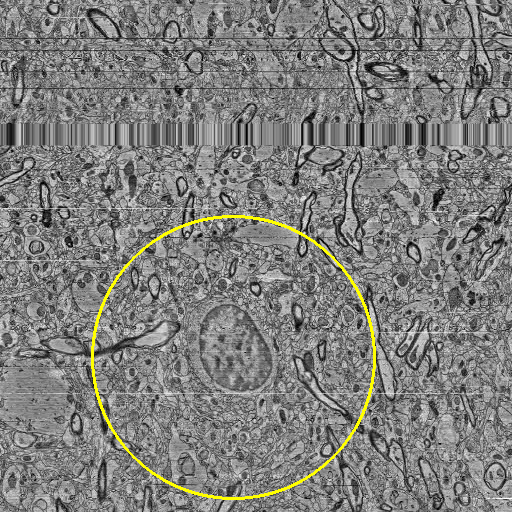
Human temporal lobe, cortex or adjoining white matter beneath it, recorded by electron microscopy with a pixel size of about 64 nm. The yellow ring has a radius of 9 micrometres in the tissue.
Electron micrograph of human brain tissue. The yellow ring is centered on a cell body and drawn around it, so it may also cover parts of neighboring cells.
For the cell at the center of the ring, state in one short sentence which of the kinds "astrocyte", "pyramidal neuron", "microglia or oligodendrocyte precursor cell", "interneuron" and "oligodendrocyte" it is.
This ring is centered on an oligodendrocyte.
